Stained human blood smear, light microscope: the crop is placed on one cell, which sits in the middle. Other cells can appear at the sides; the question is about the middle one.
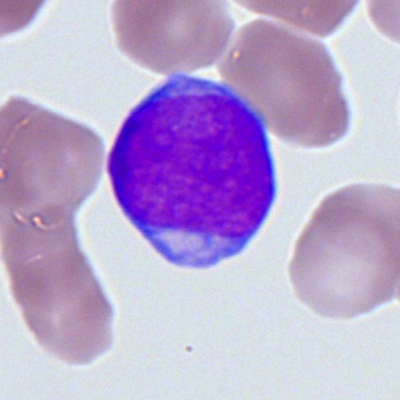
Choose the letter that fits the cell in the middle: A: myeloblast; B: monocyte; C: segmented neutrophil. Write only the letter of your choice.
A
